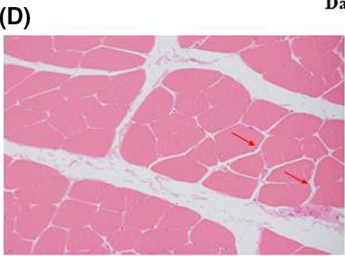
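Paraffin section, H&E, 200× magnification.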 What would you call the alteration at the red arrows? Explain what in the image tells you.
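Myofibres affected by atrophy. Two red arrows point at fibre profiles within a bundle of pink polygonal fibres.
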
